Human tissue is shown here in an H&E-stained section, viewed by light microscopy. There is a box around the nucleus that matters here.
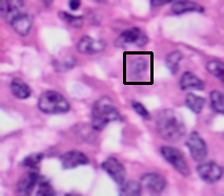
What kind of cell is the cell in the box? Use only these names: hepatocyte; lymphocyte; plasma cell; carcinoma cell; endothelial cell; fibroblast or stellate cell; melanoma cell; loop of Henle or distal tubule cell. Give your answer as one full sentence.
For the purposes of cell typing, the cell in the box is categorized as a melanoma cell.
